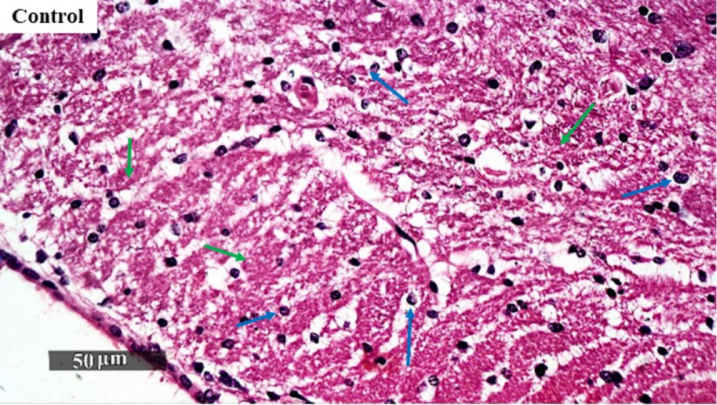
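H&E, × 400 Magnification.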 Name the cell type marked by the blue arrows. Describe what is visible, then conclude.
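Small round, darkly stained nuclei scattered among pink fibers. Several nuclei sit in a clear halo of pale cytoplasm.
Conclusion: oligodendrocyte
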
